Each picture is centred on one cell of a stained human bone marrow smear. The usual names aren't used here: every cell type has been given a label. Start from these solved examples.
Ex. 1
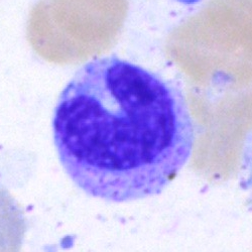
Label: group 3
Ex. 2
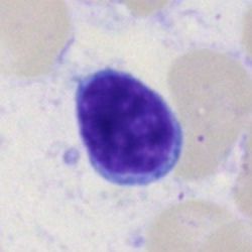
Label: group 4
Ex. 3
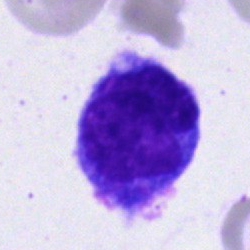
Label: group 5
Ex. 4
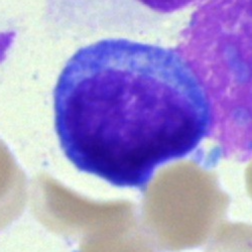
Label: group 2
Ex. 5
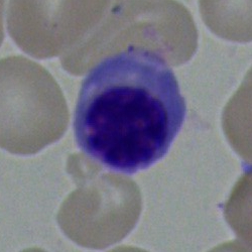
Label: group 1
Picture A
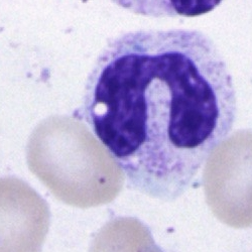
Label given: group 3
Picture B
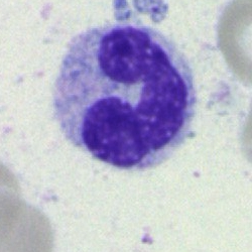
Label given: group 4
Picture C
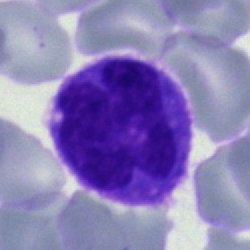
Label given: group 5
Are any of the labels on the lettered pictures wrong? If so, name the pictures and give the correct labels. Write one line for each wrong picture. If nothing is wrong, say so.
B: group 5, not group 4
